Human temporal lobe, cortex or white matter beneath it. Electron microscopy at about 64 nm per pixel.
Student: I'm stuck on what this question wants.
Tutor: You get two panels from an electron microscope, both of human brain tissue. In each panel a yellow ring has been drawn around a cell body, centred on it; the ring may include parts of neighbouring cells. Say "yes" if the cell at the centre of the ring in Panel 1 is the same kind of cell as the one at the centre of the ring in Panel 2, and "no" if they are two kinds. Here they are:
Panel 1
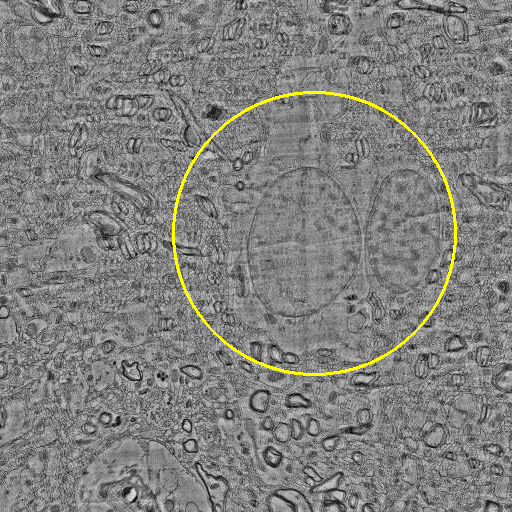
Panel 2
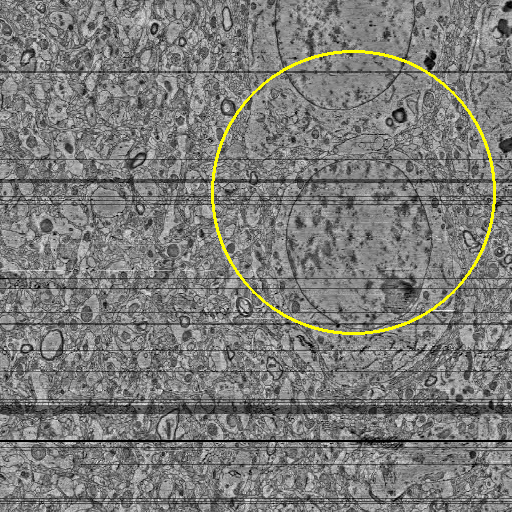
no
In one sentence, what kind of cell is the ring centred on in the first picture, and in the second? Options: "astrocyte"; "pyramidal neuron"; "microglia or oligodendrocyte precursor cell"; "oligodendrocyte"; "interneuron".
The cell at the centre of the second ring is a pyramidal neuron; the first ring's cell is an astrocyte.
